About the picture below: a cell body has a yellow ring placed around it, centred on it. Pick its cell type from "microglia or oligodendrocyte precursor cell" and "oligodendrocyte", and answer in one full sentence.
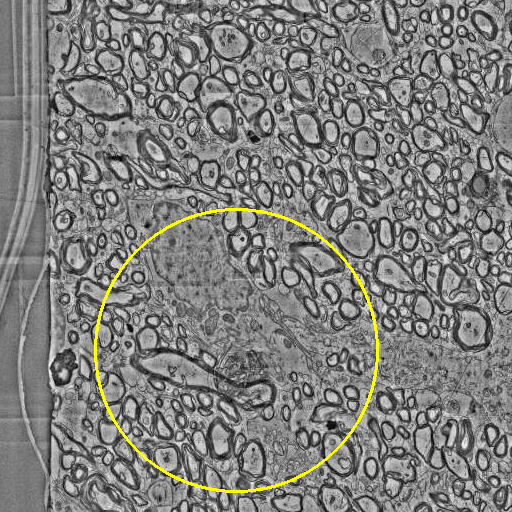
In the picture, a microglial cell or oligodendrocyte precursor cell is the cell sitting at the centre of the yellow ring.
